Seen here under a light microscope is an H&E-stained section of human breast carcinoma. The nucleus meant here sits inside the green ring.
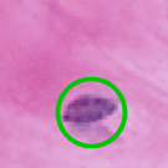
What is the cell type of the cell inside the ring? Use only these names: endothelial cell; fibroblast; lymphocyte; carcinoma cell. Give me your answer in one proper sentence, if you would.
As far as its identity is concerned, the cell inside the ring is a fibroblast.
